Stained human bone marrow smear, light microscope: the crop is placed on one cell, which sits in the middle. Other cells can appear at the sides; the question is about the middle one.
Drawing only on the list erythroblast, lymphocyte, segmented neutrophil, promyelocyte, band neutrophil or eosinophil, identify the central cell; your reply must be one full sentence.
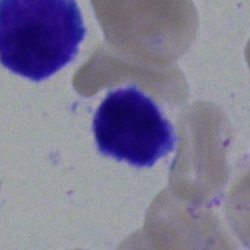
The middle position in this crop is taken by a lymphocyte.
